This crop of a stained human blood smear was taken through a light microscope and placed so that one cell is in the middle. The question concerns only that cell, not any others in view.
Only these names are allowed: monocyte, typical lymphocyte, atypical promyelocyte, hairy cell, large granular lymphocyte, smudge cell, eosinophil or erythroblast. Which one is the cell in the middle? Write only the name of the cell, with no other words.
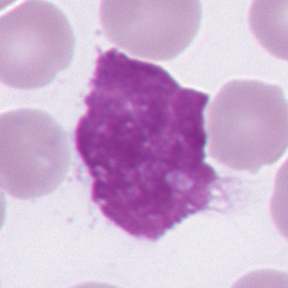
smudge cell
